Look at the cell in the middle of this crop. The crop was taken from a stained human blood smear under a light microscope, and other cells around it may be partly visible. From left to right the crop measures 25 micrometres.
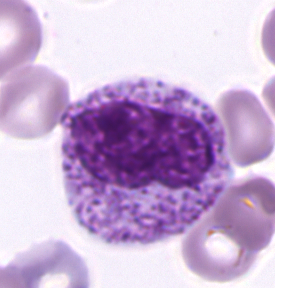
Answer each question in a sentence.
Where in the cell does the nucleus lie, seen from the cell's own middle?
The nucleus sits off-centre, toward the top.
